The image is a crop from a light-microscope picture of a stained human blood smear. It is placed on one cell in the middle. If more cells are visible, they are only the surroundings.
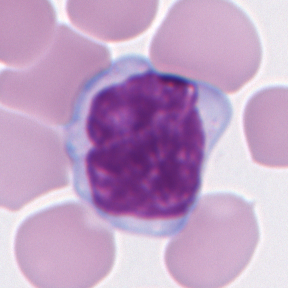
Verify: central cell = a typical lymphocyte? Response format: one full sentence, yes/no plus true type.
Yes, the cell at the middle of the frame is a typical lymphocyte.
